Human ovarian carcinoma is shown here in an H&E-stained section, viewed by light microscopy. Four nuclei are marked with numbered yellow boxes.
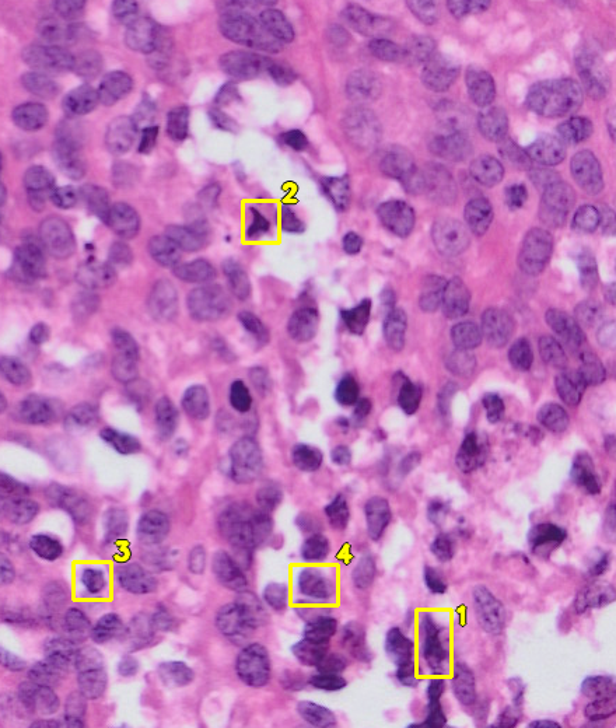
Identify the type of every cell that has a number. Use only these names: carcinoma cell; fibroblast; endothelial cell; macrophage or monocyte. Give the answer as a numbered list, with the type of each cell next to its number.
1. carcinoma cell
2. macrophage or monocyte
3. carcinoma cell
4. carcinoma cell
